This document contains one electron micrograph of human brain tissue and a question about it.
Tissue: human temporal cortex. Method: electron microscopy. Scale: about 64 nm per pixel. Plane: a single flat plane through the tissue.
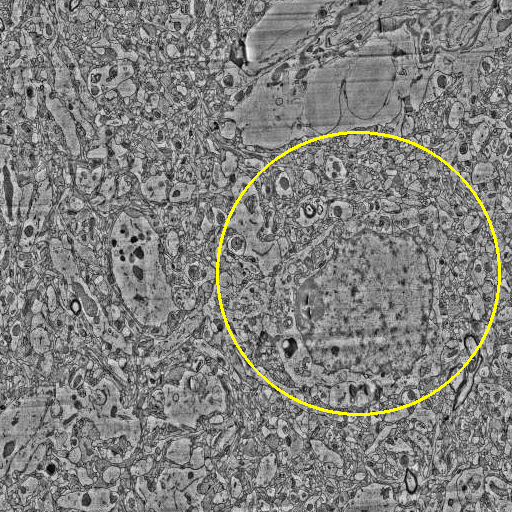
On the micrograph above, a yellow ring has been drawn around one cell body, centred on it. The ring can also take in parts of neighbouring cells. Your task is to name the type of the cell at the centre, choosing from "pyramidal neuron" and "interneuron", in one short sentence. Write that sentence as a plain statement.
Here the ring is centred on an interneuron.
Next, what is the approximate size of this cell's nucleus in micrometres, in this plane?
In this plane the nucleus measures roughly 10 by 9 micrometres.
